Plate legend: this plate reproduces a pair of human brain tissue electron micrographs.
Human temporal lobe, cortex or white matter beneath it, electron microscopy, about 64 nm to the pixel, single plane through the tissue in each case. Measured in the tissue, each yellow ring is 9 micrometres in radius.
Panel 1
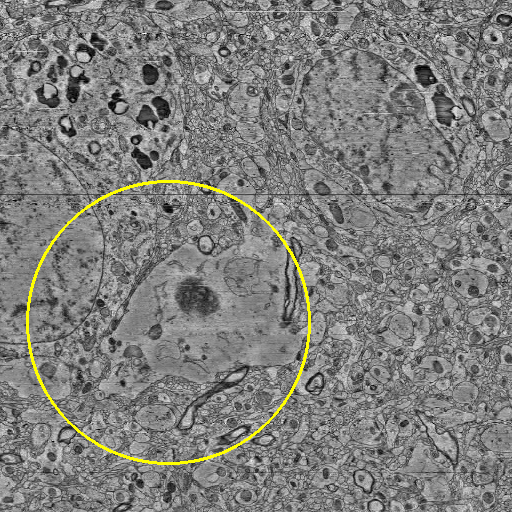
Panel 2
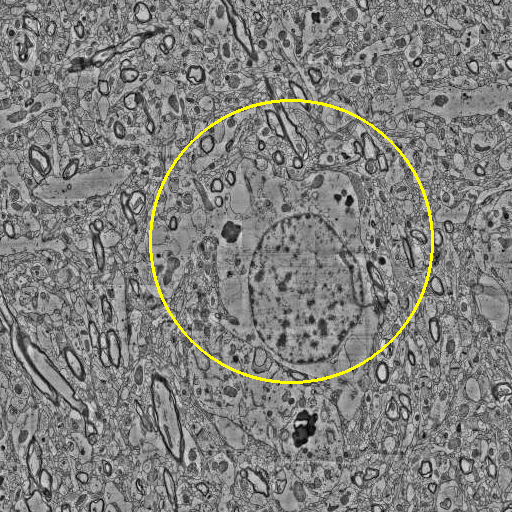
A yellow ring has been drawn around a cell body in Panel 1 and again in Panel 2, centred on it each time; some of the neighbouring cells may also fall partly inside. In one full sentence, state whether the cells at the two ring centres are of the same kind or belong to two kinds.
The ring-centred cells of Panel 1 and Panel 2 are of the same kind.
